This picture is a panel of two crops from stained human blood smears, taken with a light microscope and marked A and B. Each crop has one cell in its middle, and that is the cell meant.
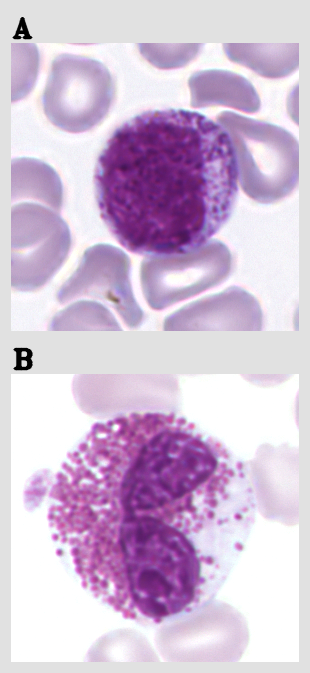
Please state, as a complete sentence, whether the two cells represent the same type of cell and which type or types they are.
No, crop B shows an eosinophil, and crop A shows a myelocyte.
